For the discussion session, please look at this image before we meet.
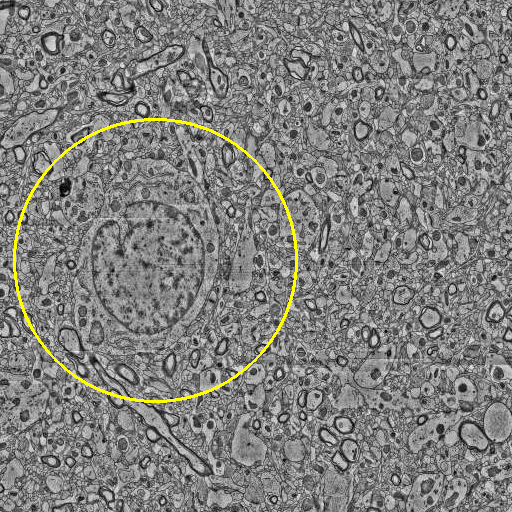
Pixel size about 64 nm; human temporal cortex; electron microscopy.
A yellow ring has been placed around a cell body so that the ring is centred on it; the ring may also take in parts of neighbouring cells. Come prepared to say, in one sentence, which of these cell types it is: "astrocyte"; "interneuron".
The cell centred in the ring is an interneuron.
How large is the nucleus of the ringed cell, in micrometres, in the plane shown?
The nucleus is approximately 8 micrometers long by 7 micrometers wide in this plane.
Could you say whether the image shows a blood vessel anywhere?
No, no blood vessel shows in the picture.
